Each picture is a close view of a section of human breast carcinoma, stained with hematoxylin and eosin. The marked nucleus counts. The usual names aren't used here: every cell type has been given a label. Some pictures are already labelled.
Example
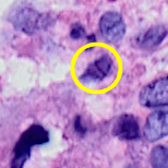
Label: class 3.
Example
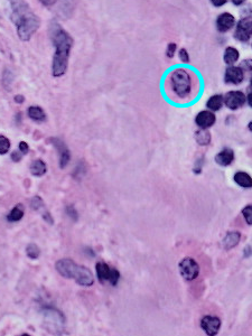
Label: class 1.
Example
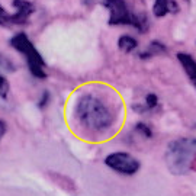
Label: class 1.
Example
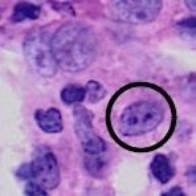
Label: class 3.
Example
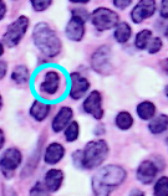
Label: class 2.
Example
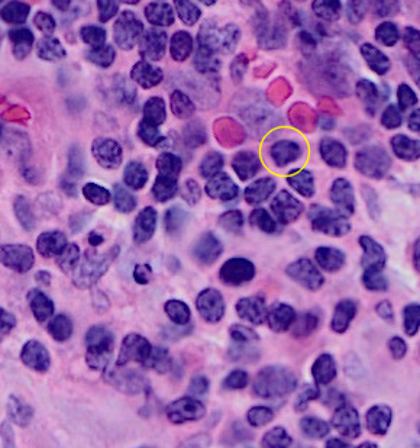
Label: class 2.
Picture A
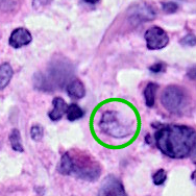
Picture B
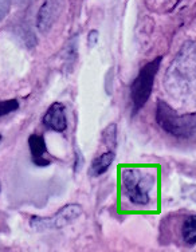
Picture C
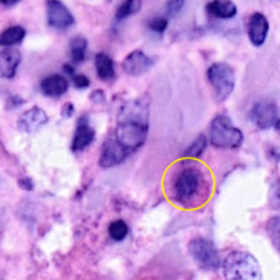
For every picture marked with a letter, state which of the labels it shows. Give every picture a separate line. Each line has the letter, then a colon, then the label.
A: class 3.
B: class 3.
C: class 1.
